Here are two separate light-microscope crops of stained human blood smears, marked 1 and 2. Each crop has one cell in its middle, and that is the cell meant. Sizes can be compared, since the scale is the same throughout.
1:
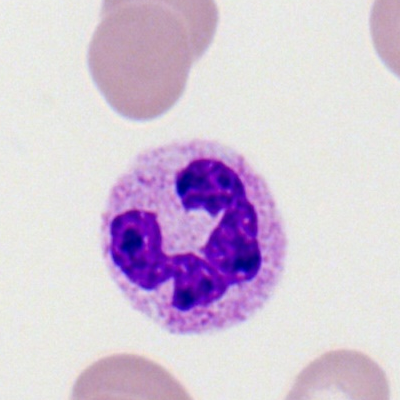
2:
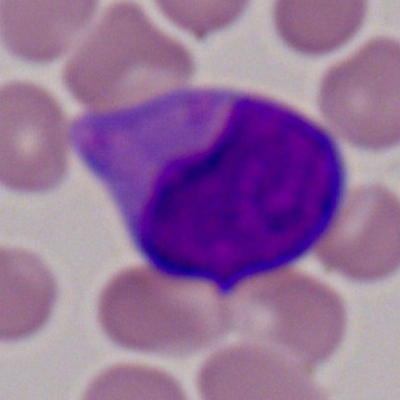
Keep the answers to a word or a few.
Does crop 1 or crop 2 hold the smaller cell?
1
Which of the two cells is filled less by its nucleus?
1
